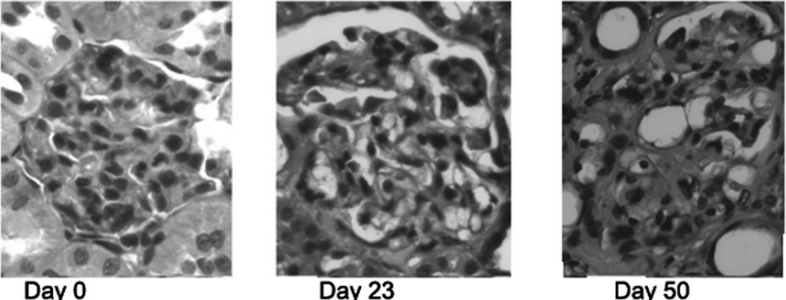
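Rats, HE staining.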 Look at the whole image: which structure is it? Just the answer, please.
Glomeruli.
